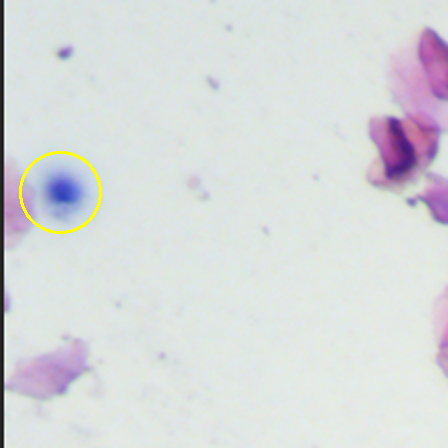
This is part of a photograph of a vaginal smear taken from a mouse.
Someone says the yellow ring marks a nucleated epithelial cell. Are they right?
They are not: the ring marks a leukocyte.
